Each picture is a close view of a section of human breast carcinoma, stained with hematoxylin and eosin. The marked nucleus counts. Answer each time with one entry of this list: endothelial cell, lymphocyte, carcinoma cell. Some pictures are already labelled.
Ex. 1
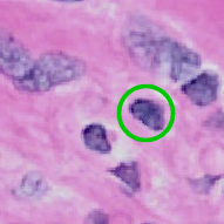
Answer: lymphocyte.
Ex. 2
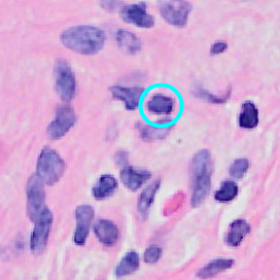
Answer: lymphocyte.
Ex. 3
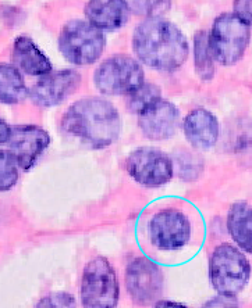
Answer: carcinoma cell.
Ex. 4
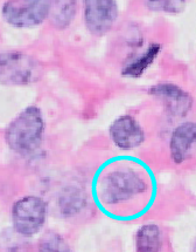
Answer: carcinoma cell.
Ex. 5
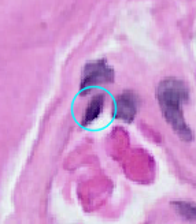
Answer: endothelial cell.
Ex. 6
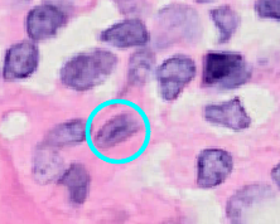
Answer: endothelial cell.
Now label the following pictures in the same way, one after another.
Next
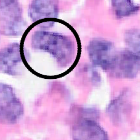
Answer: carcinoma cell.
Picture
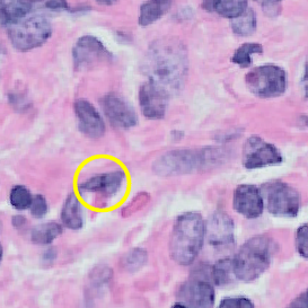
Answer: endothelial cell.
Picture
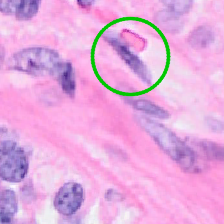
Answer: endothelial cell.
